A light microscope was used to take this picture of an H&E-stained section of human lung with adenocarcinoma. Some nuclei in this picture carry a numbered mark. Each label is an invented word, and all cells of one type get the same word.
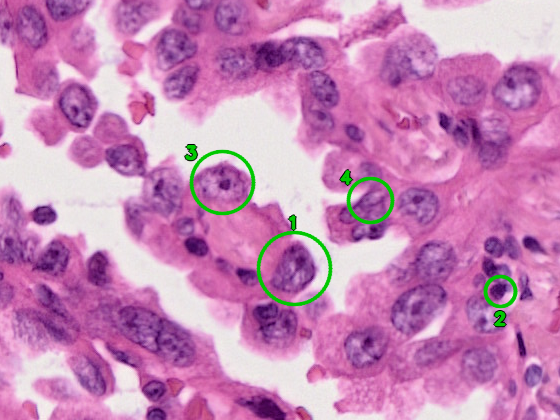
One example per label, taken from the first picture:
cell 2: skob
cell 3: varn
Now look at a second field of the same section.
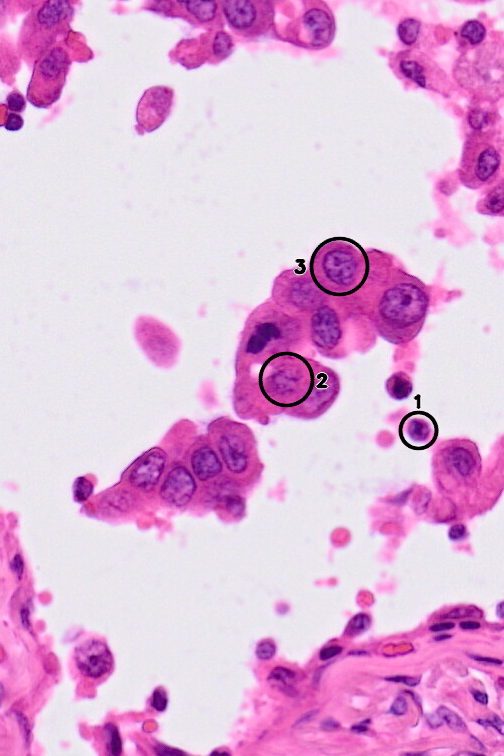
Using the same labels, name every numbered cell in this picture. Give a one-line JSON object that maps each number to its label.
{"1": "skob", "2": "varn", "3": "varn"}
